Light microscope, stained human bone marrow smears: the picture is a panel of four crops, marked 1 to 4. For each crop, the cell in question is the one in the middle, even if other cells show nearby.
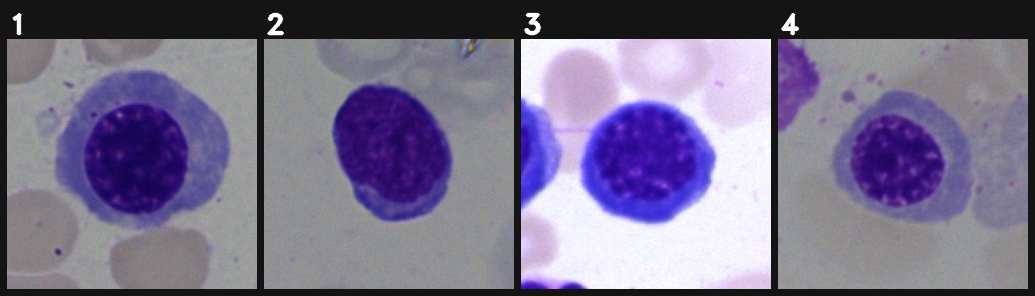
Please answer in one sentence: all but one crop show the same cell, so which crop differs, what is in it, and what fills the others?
Differing from the rest, crop 2 shows a blast; the others all show erythroblasts.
